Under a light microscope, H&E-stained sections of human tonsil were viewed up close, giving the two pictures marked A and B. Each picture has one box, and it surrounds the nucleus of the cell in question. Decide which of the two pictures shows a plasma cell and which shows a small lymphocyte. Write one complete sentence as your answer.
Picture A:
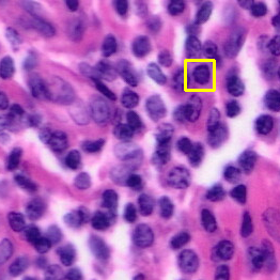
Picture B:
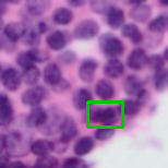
Picture B shows a small lymphocyte, while picture A shows a plasma cell.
